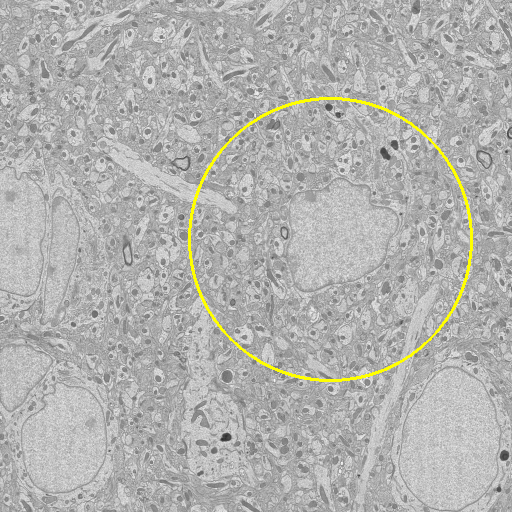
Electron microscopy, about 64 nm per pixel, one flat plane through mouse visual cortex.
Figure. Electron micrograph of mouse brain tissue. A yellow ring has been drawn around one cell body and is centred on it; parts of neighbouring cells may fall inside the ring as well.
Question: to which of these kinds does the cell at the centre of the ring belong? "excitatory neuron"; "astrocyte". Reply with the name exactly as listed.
astrocyte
